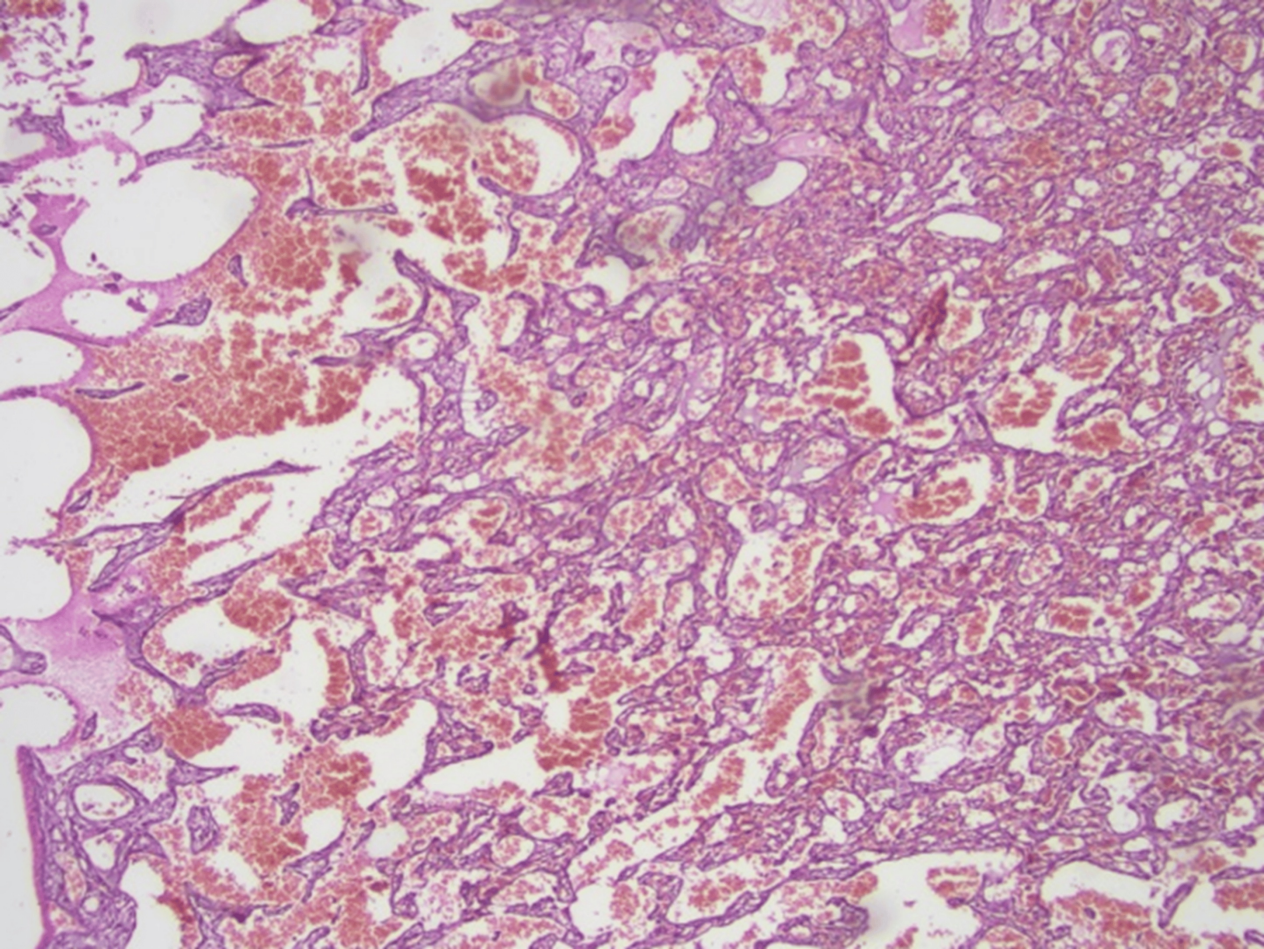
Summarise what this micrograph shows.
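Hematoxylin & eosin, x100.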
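Numerous closely packed vascular structures of varying size fill the field. They are lined by a thin single layer of flattened endothelium and separated by thin purple-staining septa. Most lumina are filled with red-pink erythrocytes; the spaces are larger and more dilated toward the left and smaller and more crowded toward the right.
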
